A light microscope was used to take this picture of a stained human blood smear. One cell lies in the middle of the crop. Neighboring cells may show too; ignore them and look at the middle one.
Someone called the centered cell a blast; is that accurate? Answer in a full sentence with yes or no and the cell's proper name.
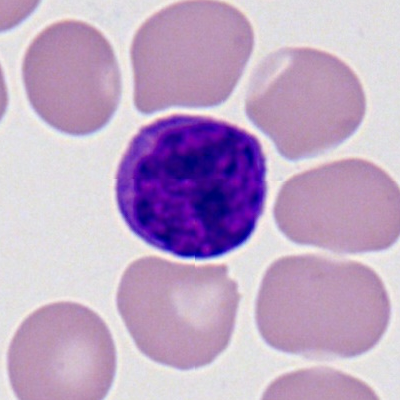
No, it is a lymphocyte, not a blast, that lies at the centre of the crop.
